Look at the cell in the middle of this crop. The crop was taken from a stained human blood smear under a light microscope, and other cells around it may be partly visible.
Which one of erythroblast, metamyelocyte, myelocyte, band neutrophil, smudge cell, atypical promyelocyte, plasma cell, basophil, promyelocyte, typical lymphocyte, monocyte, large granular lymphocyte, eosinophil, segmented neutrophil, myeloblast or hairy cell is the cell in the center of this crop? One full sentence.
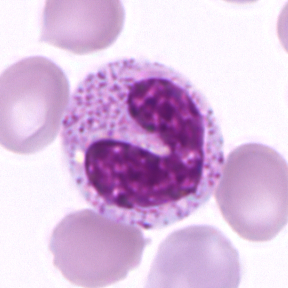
The cell in the middle of the field of view is a band neutrophil.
